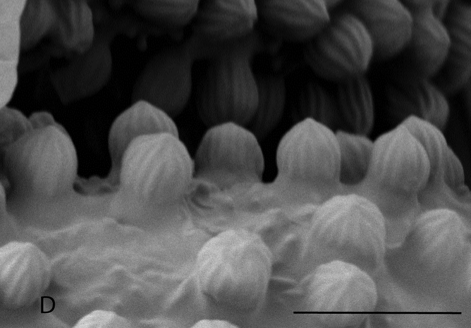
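Here we look closely and at a low angle at the ornamented outer wall of a pollen grain, where supratectal subunits stand above the surface. Each subunit is a rounded, dome-like knob that narrows toward a blunt point at its top. Several ribs run lengthwise up the sides of each knob, converging at the tip, so that each looks fluted. The knobs stand apart from one another in rows, and between them the underlying wall surface is lower and less regular. In the back of the field more knobs are seen out of focus, showing how densely the surface is covered.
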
